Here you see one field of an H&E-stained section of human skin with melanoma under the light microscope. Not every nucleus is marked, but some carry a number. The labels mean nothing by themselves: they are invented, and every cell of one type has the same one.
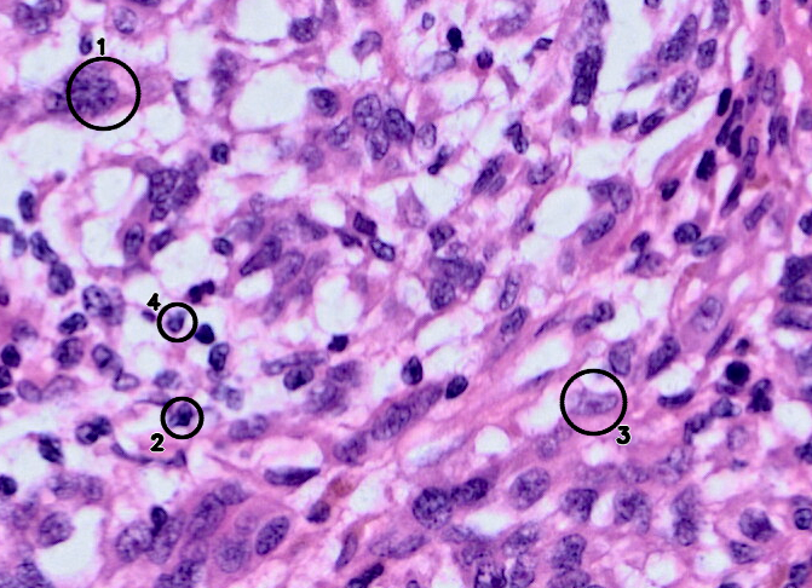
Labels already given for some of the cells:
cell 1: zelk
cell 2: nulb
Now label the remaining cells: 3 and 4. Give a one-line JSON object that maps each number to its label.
{"3": "zelk", "4": "nulb"}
